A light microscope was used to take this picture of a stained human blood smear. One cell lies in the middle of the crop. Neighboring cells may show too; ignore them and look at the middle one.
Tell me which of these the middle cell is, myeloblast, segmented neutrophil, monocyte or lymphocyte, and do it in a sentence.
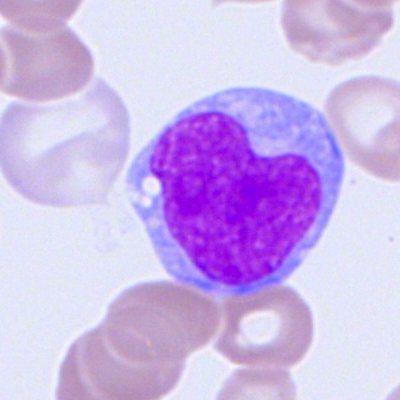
Standing at the centre of this crop is a myeloblast.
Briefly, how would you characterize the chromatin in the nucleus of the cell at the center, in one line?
Its chromatin is finely dispersed rather than coarsely clumped.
